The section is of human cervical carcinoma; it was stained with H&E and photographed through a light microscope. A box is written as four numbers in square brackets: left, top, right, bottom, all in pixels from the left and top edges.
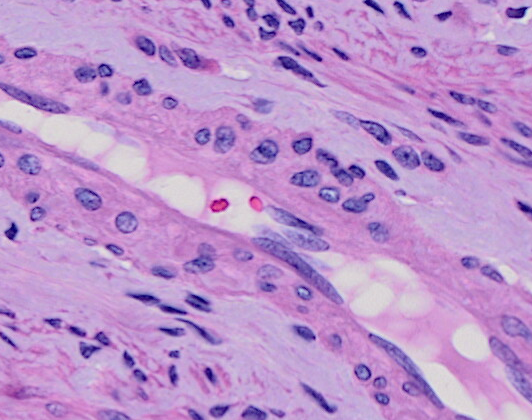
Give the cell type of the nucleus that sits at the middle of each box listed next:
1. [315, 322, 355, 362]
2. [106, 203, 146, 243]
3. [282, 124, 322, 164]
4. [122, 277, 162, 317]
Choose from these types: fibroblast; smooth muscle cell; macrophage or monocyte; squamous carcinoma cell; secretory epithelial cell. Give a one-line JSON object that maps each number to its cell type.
{"1": "smooth muscle cell", "2": "smooth muscle cell", "3": "smooth muscle cell", "4": "fibroblast"}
